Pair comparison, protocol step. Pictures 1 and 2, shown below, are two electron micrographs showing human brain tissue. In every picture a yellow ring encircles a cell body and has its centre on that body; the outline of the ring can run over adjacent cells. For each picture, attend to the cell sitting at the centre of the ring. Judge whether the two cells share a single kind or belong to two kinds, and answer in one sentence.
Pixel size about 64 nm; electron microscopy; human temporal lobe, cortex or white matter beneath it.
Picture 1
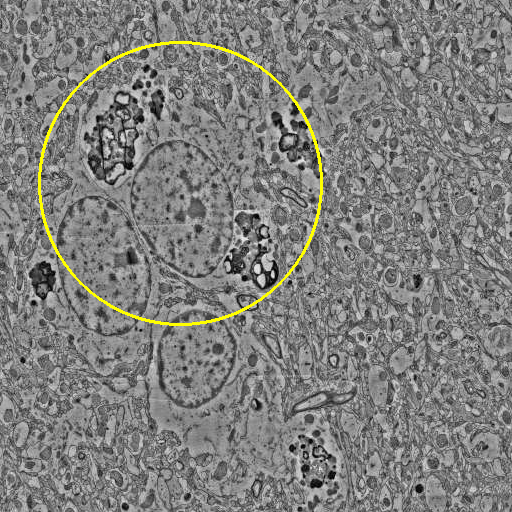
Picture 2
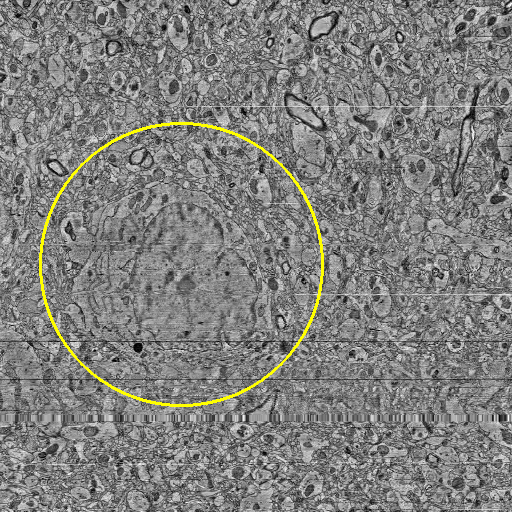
The two cells at the ring centres in Picture 1 and Picture 2 belong to two kinds.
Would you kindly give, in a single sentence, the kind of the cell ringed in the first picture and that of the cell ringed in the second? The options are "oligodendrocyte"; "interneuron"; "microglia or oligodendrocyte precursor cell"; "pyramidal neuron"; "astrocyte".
The second cell is an interneuron, and the first cell is an astrocyte.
